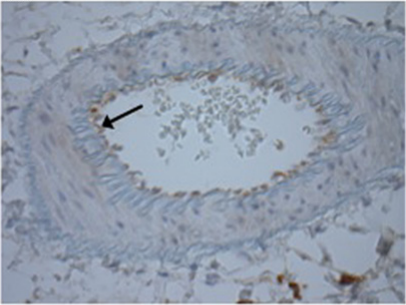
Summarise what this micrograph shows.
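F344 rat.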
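Cross-section of a blood vessel with a wide oval lumen holding scattered red blood cells. The inner lining is a thin layer of flat cells that carries a discontinuous brown stain, with small brown dots along the luminal surface. Outside it lies a thick wall of many layers of elongated cells with spindle-shaped blue nuclei, radially striated near the lumen and largely unstained. Loose connective tissue with sparse cells surrounds the vessel, and a few strongly brown cells lie in it at the lower right.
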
